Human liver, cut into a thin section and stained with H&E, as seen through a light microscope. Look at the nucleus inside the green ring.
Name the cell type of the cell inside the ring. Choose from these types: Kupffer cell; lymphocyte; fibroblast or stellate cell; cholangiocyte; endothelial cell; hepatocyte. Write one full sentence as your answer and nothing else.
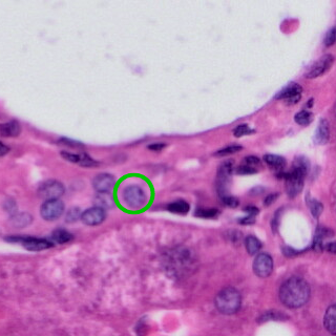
For cell typing purposes, the cell inside the ring is a cholangiocyte.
